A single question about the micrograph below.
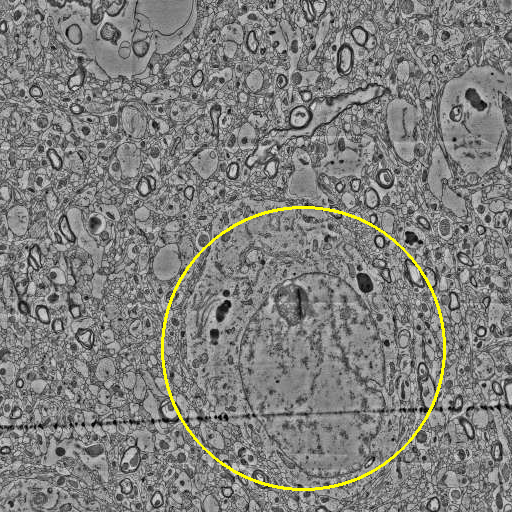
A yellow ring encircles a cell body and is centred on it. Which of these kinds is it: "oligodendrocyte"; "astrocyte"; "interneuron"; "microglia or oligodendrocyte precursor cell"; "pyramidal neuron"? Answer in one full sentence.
The cell body at the centre of the yellow ring belongs to an interneuron.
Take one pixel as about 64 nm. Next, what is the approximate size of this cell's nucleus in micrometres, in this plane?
About 13 micrometres by about 10 micrometres in this plane.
